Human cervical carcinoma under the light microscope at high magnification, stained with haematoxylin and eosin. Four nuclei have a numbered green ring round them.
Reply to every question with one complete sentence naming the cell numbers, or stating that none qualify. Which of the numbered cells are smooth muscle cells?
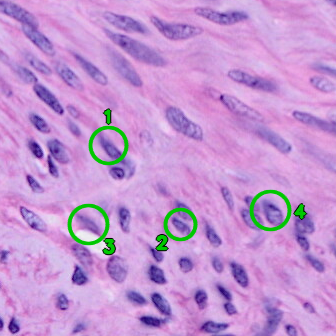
Regarding the numbered cells 1, 2 and 4, these are smooth muscle cells.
